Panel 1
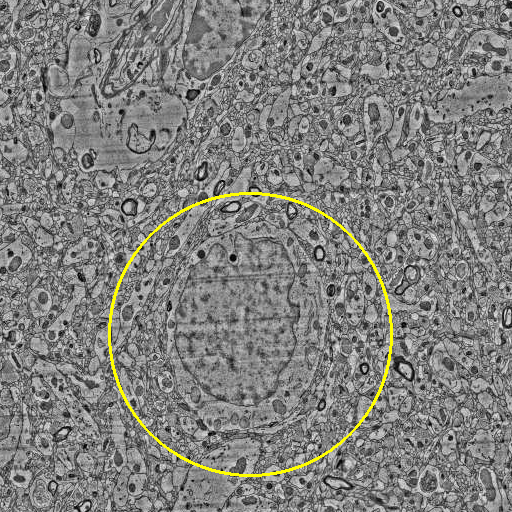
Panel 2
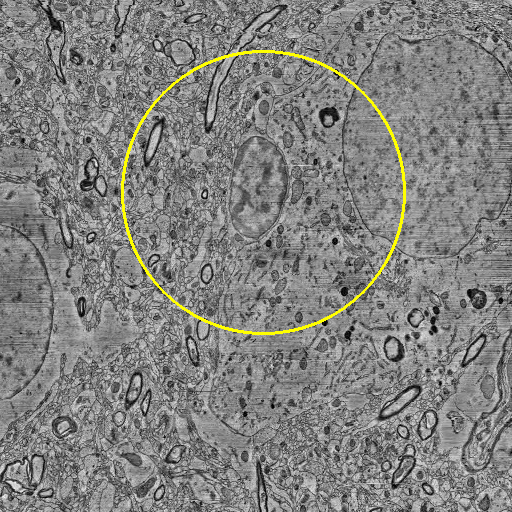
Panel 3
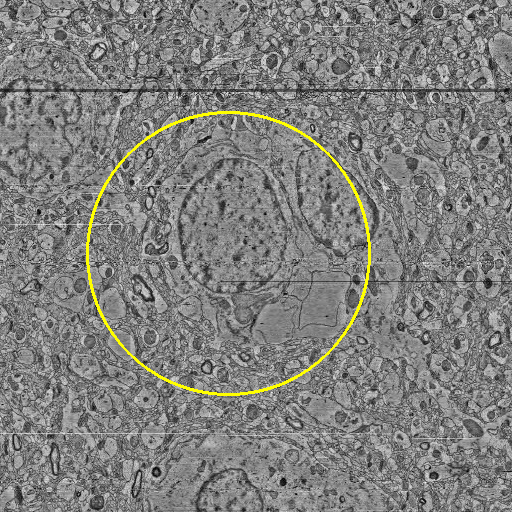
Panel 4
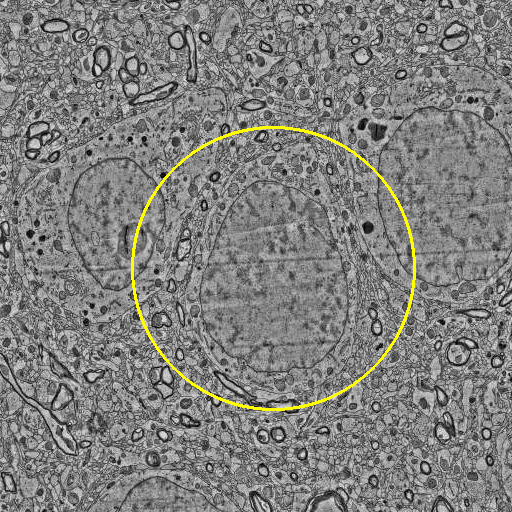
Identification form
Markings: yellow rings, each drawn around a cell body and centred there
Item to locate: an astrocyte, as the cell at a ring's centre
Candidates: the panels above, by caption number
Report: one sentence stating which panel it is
It is Panel 3.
